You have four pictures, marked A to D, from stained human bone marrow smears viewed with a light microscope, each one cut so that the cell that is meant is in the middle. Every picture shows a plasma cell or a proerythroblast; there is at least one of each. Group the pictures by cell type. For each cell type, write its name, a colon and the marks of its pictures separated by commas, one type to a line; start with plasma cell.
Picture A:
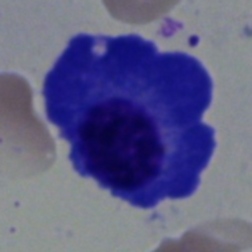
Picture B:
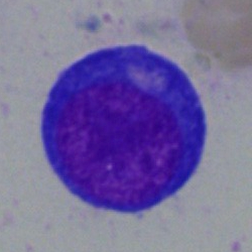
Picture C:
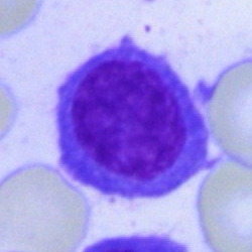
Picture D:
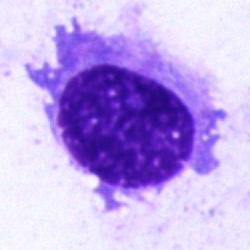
plasma cell: A, C, D
proerythroblast: B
